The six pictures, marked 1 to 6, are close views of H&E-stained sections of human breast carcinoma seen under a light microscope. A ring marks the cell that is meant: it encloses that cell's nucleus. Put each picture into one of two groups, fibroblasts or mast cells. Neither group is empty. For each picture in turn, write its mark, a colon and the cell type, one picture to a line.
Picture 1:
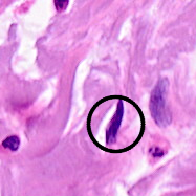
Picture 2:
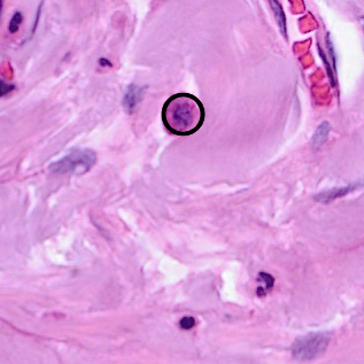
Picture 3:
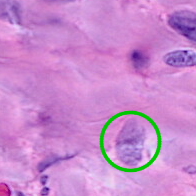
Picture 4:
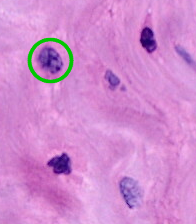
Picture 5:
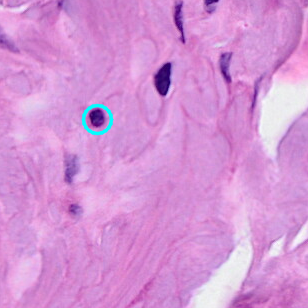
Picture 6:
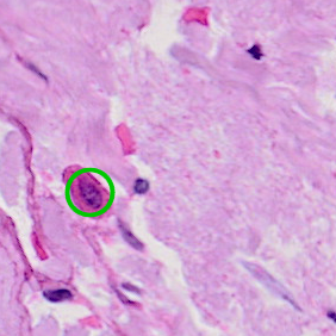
1: fibroblast
2: mast cell
3: fibroblast
4: mast cell
5: mast cell
6: mast cell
